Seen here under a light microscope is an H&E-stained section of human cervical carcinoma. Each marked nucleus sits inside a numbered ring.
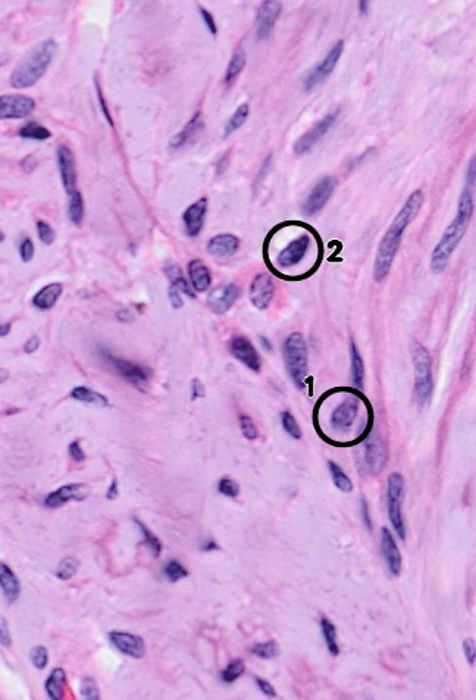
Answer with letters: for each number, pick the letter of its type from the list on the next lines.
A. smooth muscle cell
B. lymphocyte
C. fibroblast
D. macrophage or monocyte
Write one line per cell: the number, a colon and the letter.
1: C
2: B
